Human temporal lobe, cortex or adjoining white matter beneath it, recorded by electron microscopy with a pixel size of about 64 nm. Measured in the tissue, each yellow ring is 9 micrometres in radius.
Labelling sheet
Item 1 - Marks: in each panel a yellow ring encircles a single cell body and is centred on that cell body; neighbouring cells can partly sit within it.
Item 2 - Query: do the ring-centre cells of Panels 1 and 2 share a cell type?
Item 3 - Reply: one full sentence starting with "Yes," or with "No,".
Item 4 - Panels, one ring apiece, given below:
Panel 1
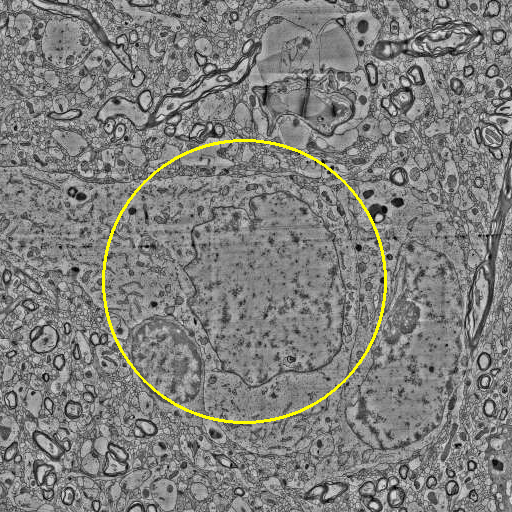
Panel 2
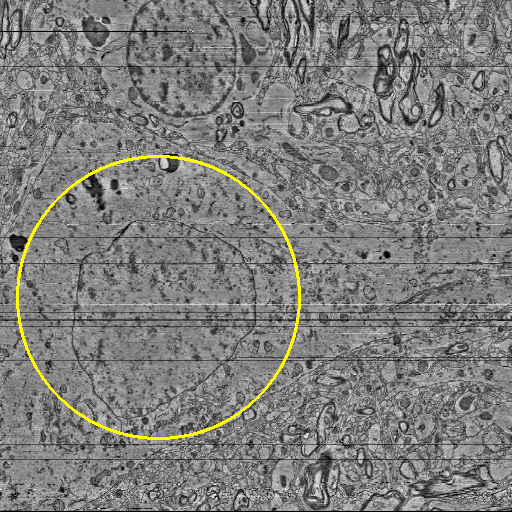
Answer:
Yes, Panel 1 and Panel 2 show one cell type at the centres of their rings.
